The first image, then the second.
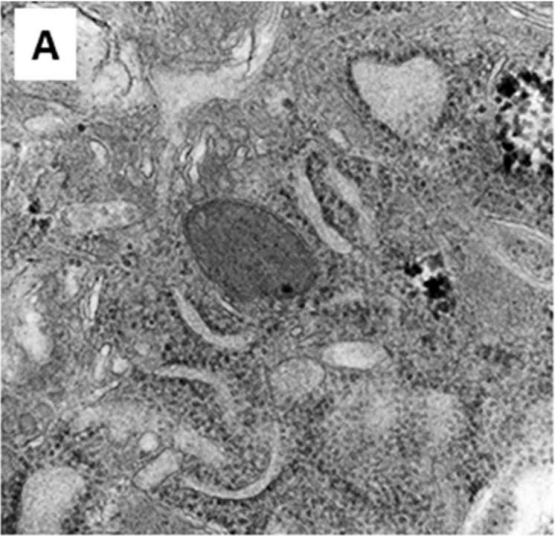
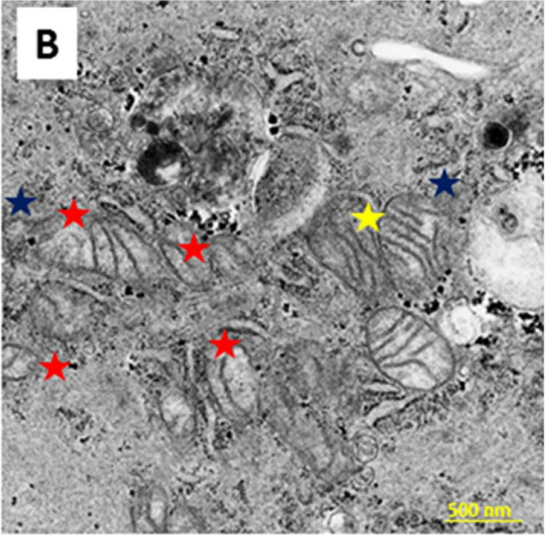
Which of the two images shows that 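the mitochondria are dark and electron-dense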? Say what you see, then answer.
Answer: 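Second image: mitochondria are pale, with clearly visible light matrix and distinct cristae. First image: a large oval mitochondrion is uniformly dark grey with little visible inner structure. The answer: the first image.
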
